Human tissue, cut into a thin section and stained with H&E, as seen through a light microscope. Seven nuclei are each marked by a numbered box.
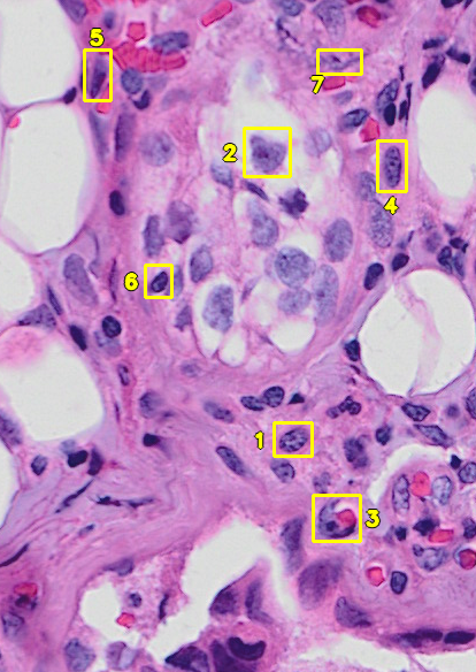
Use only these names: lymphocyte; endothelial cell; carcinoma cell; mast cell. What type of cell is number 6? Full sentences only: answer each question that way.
Denoted by the label 6 in the section is a lymphocyte.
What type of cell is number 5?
The numbered cell 5 in this field is an endothelial cell.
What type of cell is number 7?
The cell numbered 7 represents an endothelial cell.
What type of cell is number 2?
In this section, the cell tagged 2 is a carcinoma cell.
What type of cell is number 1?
It is as a mast cell that the cell numbered 1 is identified.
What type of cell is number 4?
As for number 4, that cell is a mast cell.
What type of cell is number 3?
The identity of cell 3 is that of an endothelial cell.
